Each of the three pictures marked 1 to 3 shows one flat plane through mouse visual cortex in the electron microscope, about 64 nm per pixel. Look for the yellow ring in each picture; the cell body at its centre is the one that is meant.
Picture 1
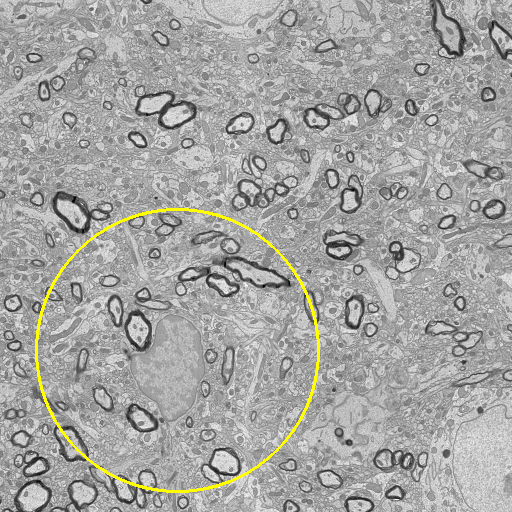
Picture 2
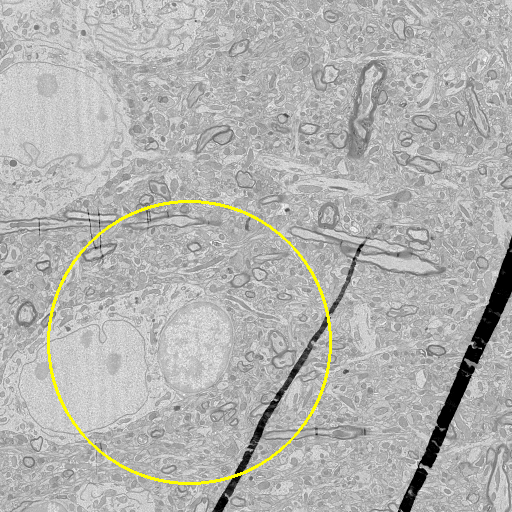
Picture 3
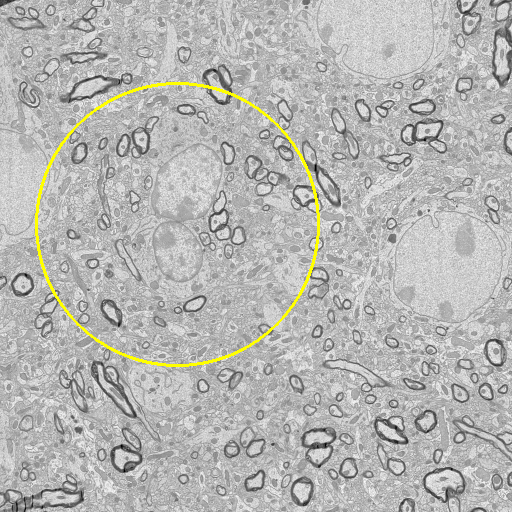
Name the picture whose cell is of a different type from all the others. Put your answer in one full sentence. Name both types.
Picture 1 is the odd one out: it shows a microglial cell, while the others show oligodendrocytes.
